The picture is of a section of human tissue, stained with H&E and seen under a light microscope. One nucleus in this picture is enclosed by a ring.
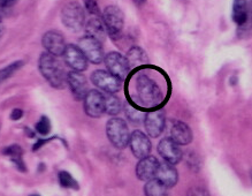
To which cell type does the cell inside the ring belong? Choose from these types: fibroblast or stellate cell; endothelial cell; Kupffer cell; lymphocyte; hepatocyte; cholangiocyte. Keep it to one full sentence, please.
In the context of this tissue, the cell inside the ring is a cholangiocyte.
